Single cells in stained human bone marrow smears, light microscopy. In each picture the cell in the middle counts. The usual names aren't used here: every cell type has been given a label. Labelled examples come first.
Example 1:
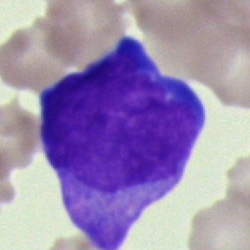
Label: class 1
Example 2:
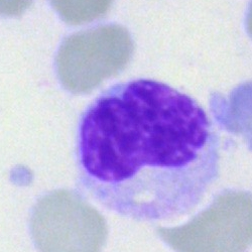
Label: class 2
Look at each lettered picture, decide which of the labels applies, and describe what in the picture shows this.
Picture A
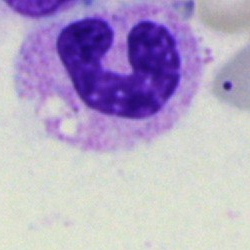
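Answer: class 2. The cytoplasm is plentiful and pale pinkish-lilac.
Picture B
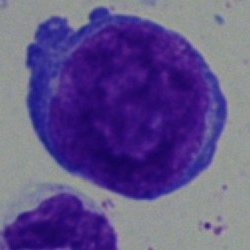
Answer: class 1. The chromatin is finely granular rather than coarsely clumped.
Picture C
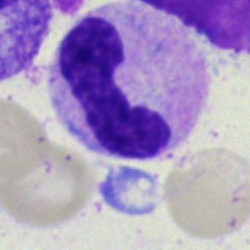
Answer: class 2. The cytoplasm is plentiful and pale pinkish-lilac.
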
